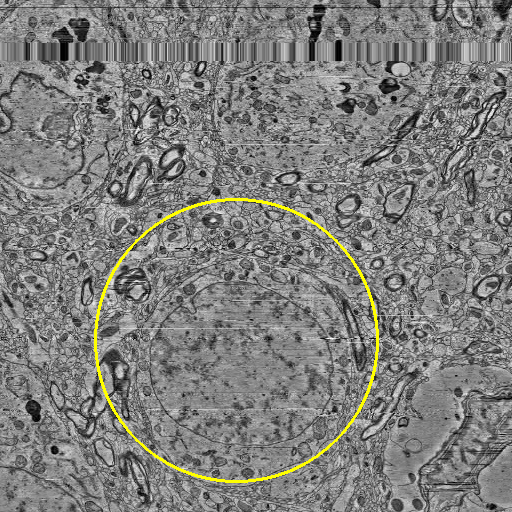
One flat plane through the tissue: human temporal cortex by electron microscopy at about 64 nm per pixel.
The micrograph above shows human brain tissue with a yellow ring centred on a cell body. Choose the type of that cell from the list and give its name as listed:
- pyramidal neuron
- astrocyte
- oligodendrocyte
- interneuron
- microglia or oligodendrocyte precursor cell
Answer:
pyramidal neuron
